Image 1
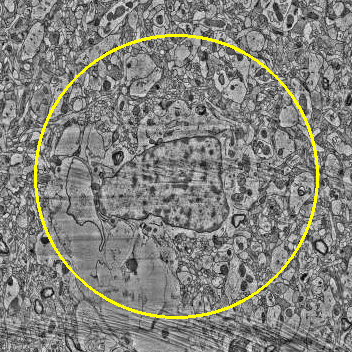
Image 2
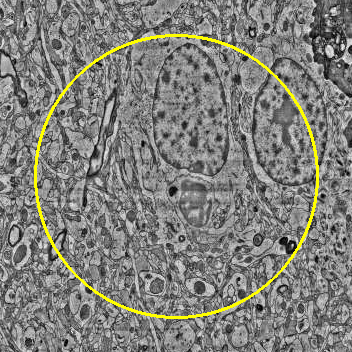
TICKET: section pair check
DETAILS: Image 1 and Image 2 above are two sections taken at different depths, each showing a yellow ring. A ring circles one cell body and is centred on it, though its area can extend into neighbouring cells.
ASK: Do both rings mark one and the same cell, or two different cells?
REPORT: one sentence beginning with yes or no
No, one ring and the other ring mark two distinct cells.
